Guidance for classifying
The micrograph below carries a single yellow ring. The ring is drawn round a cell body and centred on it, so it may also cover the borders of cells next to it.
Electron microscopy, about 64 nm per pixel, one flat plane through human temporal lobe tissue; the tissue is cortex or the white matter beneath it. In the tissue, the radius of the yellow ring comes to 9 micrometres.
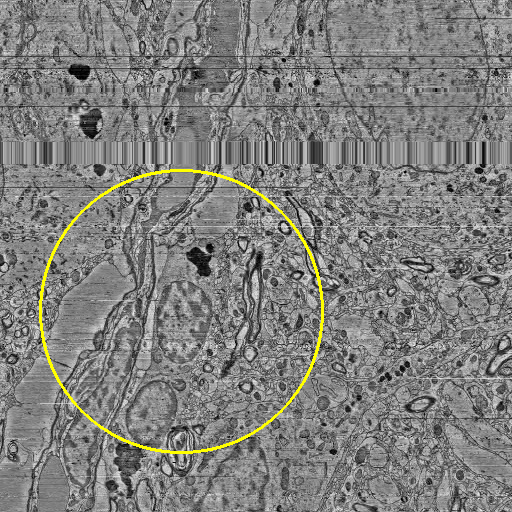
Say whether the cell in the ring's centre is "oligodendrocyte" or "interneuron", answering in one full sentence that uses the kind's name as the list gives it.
Within the yellow ring, an oligodendrocyte is the cell whose body sits at the centre.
